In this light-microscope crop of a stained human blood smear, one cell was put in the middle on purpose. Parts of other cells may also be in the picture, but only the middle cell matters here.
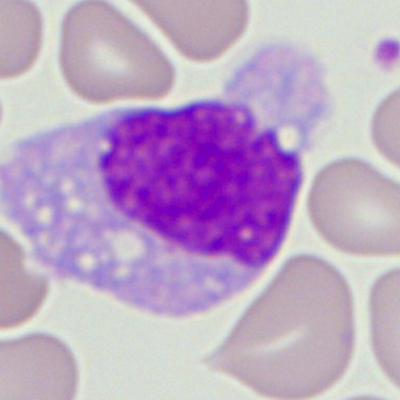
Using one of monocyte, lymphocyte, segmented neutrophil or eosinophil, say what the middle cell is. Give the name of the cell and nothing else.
monocyte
